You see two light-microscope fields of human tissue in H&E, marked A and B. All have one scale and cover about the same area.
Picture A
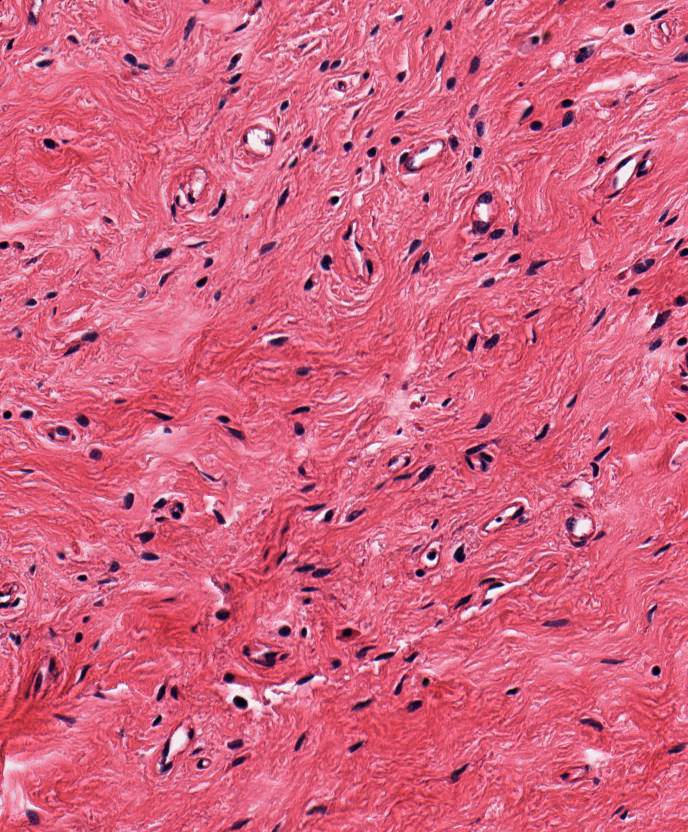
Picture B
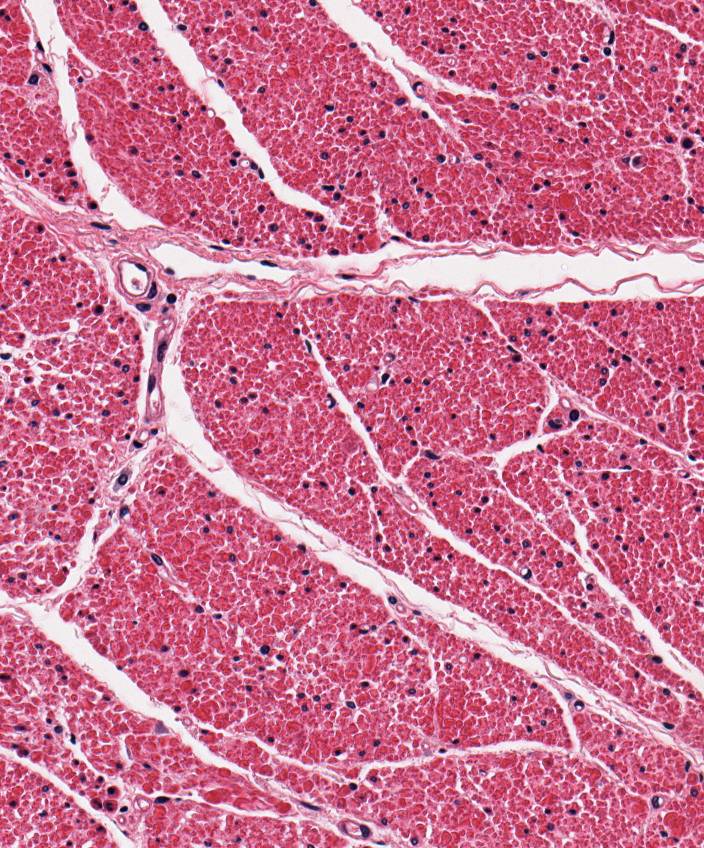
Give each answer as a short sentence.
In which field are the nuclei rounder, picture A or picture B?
The nuclei are rounder in picture B.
